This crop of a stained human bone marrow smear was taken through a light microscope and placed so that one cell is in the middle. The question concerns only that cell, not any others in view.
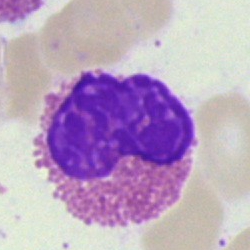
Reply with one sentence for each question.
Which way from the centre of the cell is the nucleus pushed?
The nucleus lies toward the top of the cell.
